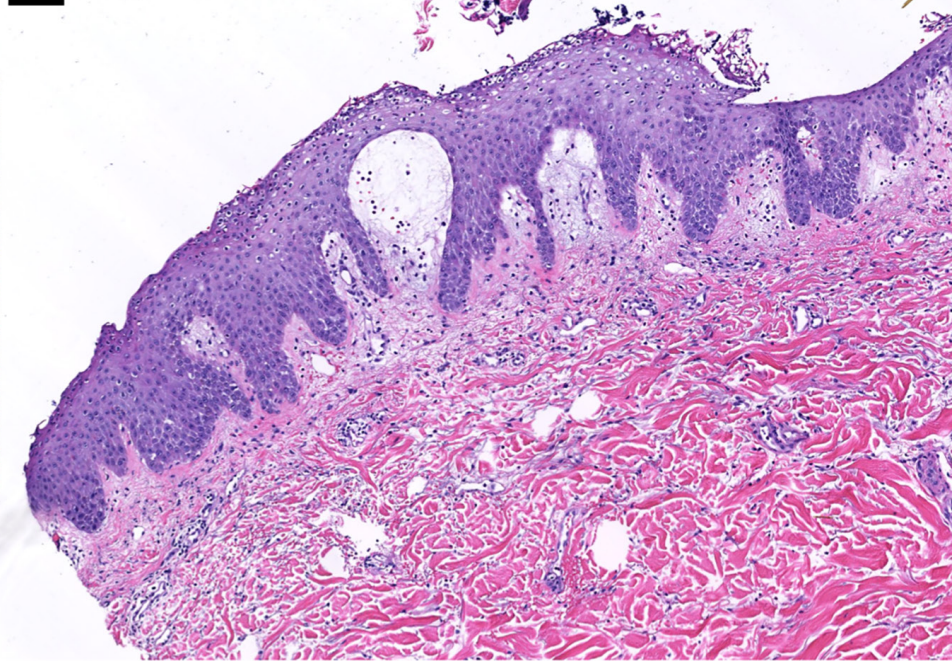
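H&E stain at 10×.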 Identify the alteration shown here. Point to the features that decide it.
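The dermal papillae between the rete ridges are pale and loosely textured. The pale papillae contrast with the denser pink collagen of the deeper dermis. On this evidence: papillary dermal edema.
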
